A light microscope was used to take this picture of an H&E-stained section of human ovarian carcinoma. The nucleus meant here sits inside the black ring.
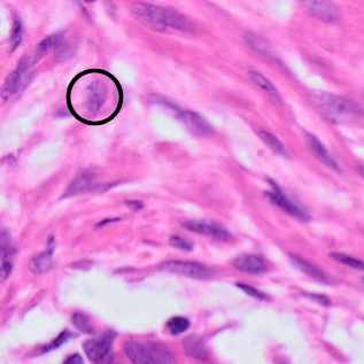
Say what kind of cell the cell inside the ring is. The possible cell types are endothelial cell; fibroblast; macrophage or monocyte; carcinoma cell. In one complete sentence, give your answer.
In the tissue at hand, the cell inside the ring is a fibroblast.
